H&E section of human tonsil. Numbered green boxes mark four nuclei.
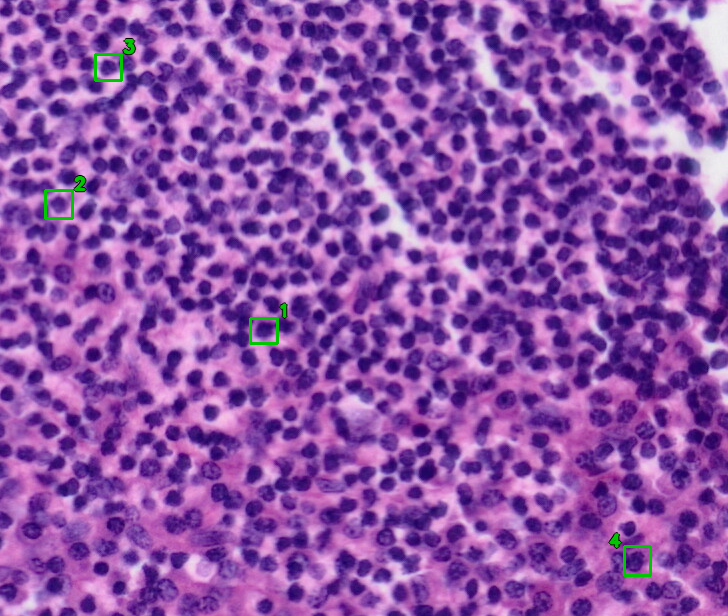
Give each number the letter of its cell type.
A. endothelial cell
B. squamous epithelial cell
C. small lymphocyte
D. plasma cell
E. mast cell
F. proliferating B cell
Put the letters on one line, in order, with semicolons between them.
C; C; C; D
